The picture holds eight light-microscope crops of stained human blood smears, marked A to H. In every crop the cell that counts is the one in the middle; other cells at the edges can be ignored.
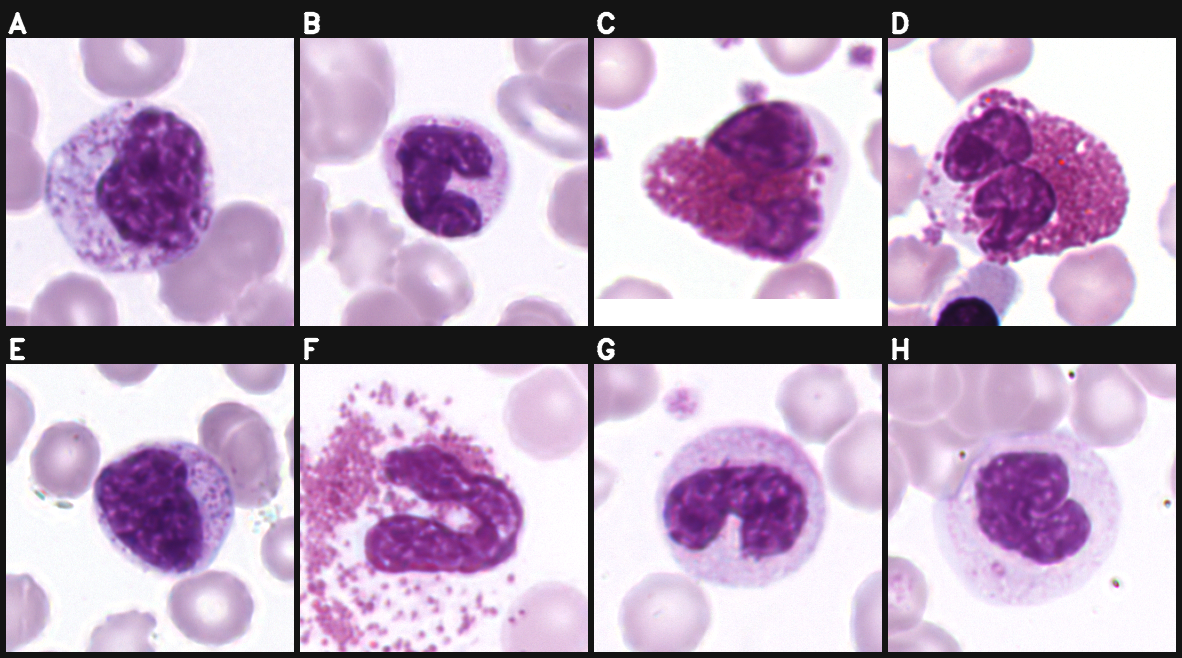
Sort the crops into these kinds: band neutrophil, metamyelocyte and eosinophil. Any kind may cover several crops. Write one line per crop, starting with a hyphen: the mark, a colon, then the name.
- A: metamyelocyte
- B: band neutrophil
- C: eosinophil
- D: eosinophil
- E: metamyelocyte
- F: eosinophil
- G: band neutrophil
- H: band neutrophil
